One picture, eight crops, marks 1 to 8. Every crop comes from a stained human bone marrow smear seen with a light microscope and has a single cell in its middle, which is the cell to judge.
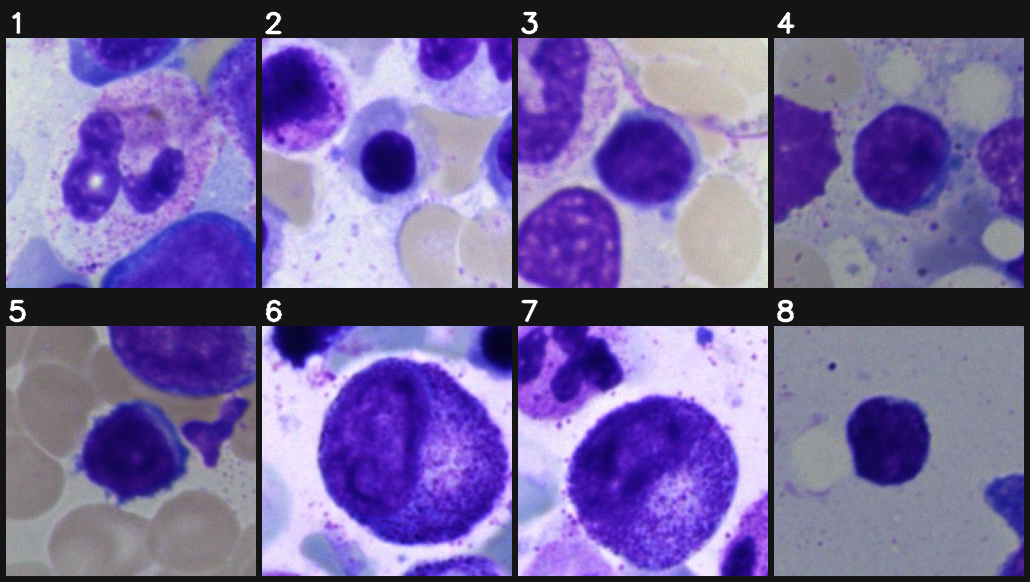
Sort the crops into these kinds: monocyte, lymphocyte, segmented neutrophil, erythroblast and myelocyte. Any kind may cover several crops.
1: segmented neutrophil
2: erythroblast
3: lymphocyte
4: lymphocyte
5: lymphocyte
6: myelocyte
7: myelocyte
8: lymphocyte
